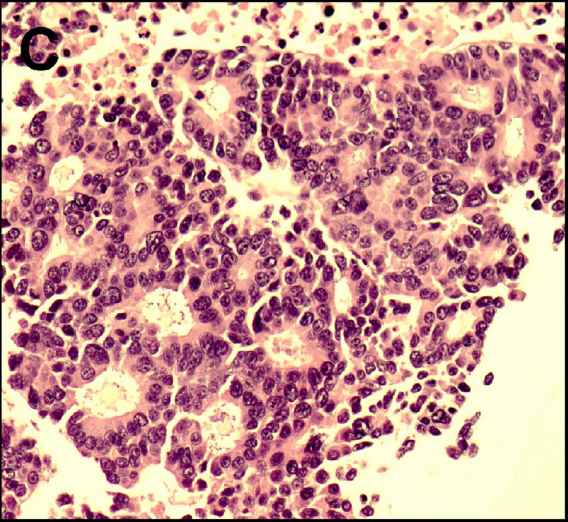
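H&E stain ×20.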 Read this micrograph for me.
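Tumor cells arranged in an acinar pattern around small round lumens. The nuclei are fairly uniform and eccentric, pushed to the outer side of the cells, while the pink cytoplasm is abundant and faces the lumens.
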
